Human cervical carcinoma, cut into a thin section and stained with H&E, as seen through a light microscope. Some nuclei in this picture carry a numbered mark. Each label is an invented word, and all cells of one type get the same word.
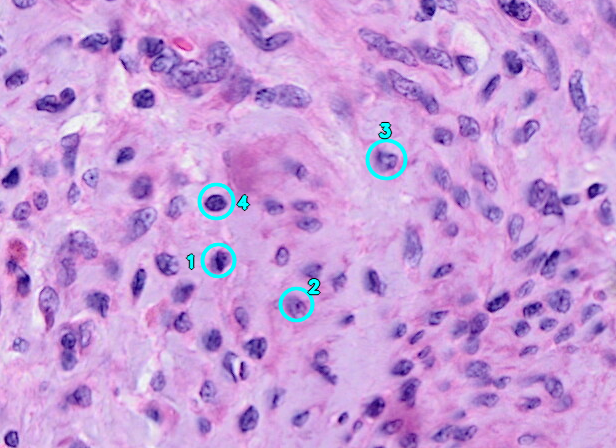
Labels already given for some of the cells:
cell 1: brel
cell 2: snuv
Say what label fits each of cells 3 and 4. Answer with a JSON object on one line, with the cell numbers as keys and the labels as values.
{"3": "snuv", "4": "brel"}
